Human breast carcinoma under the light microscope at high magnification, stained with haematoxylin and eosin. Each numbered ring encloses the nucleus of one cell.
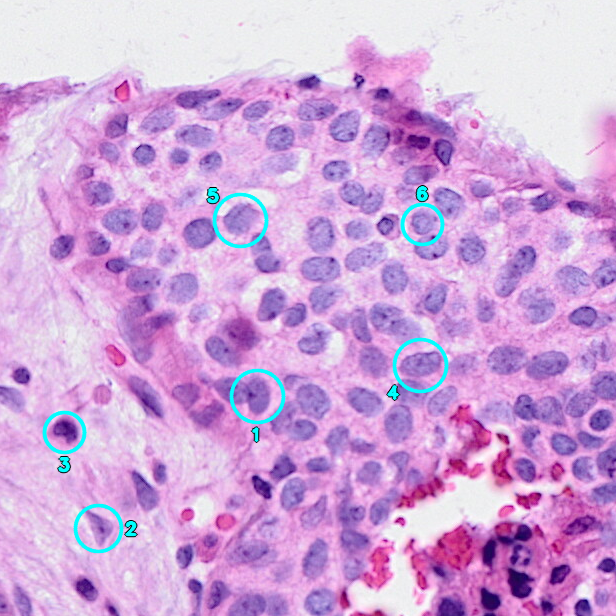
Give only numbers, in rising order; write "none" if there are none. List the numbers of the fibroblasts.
2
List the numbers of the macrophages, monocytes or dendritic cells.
3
